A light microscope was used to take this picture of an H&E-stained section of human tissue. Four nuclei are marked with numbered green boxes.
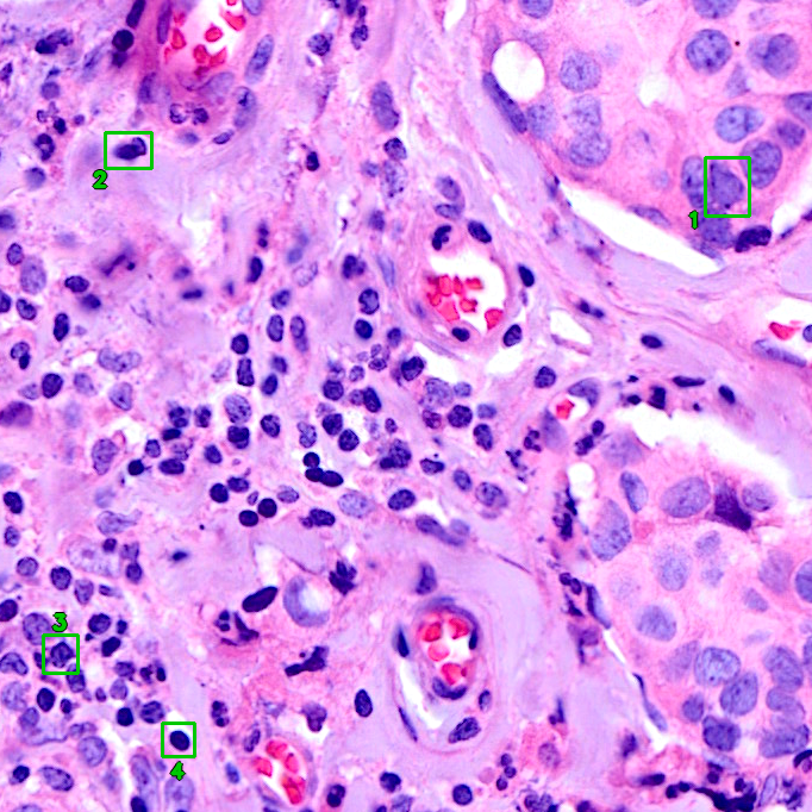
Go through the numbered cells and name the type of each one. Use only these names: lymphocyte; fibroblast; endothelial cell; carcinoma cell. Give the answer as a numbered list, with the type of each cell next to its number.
1. carcinoma cell
2. lymphocyte
3. lymphocyte
4. lymphocyte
